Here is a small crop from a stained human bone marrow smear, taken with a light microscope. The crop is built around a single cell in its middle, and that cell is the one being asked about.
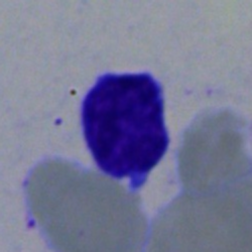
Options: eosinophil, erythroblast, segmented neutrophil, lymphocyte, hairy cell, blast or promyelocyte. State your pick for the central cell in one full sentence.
Of the cells in this crop, the central one is a lymphocyte.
